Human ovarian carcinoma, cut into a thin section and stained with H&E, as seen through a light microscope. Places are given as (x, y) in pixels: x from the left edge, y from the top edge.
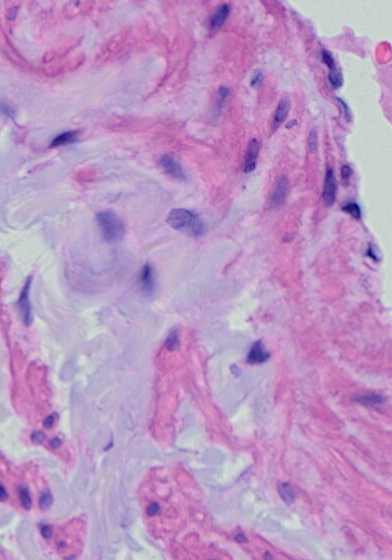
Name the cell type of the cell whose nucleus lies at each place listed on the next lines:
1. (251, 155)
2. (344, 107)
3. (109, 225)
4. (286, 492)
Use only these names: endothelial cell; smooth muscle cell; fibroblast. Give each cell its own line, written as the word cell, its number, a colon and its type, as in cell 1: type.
cell 1: smooth muscle cell
cell 2: endothelial cell
cell 3: fibroblast
cell 4: smooth muscle cell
